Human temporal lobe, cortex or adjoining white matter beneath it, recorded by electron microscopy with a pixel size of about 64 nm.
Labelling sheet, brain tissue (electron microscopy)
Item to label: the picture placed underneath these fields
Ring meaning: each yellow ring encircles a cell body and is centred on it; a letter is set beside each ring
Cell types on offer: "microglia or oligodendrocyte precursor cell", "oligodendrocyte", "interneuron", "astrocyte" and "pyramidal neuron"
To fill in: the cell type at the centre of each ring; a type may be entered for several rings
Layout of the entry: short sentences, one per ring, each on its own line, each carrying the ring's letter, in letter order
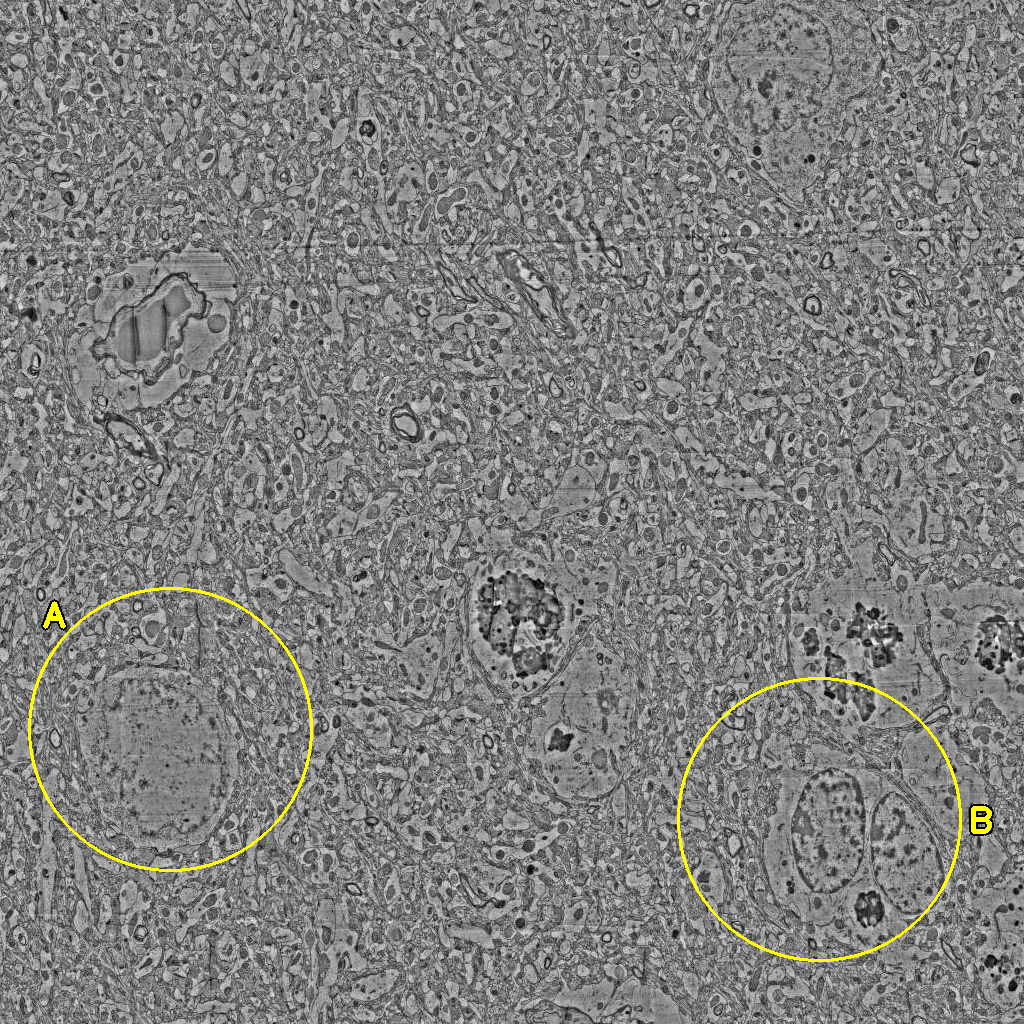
Ring A encircles the body of an interneuron.
Ring B encircles the body of an astrocyte.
